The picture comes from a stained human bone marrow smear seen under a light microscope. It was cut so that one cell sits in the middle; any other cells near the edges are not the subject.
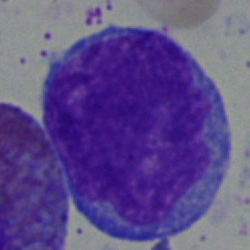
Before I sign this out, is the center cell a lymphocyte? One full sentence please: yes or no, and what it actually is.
No, the cell in the middle is a blast; it is not a lymphocyte.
